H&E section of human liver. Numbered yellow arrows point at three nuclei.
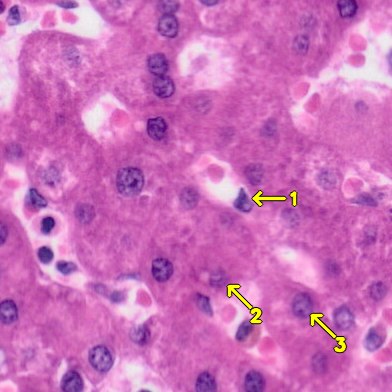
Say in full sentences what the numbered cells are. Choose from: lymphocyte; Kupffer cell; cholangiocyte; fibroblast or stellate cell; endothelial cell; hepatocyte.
Cell 1 is an endothelial cell. Cells 2 and 3 are hepatocytes.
